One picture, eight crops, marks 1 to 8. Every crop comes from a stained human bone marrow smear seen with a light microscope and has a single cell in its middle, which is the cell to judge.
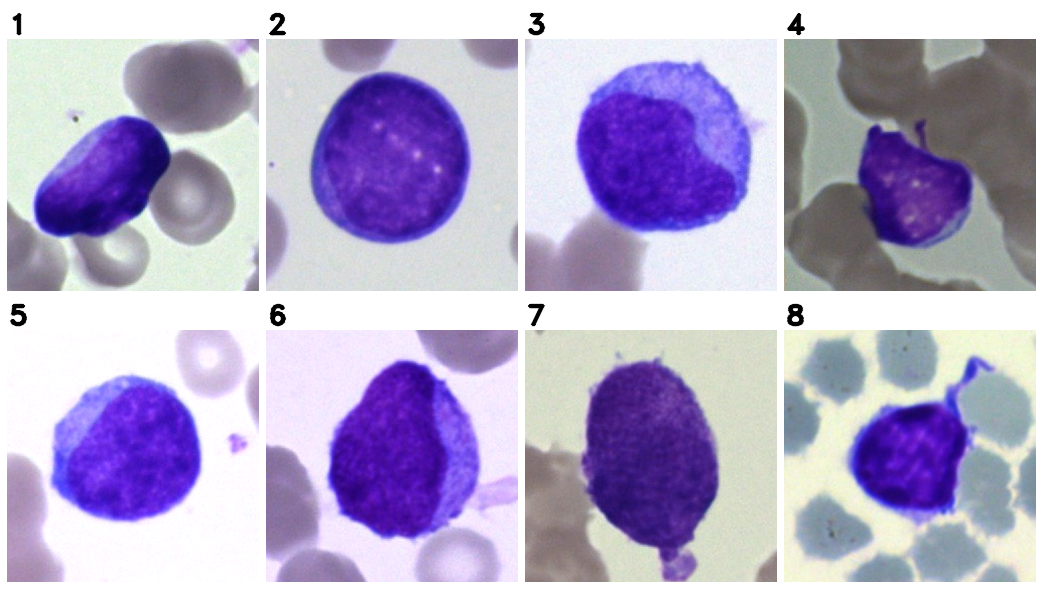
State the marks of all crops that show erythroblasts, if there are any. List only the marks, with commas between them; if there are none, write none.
none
